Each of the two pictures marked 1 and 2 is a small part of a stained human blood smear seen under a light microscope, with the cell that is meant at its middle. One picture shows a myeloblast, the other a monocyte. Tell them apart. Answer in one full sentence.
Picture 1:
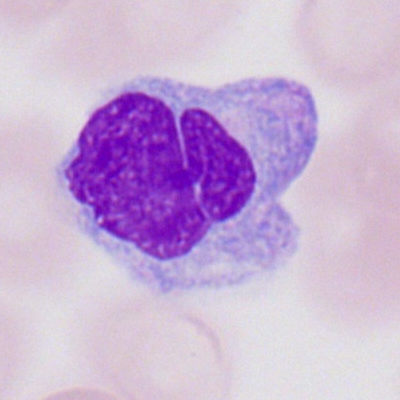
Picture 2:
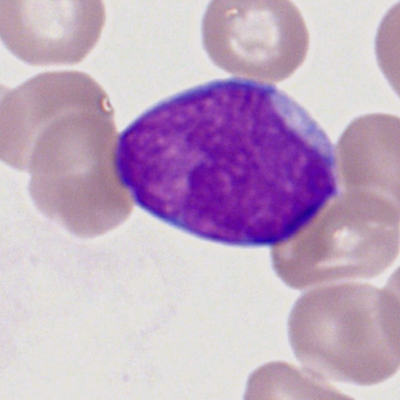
Picture 1 shows a monocyte and picture 2 shows a myeloblast.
